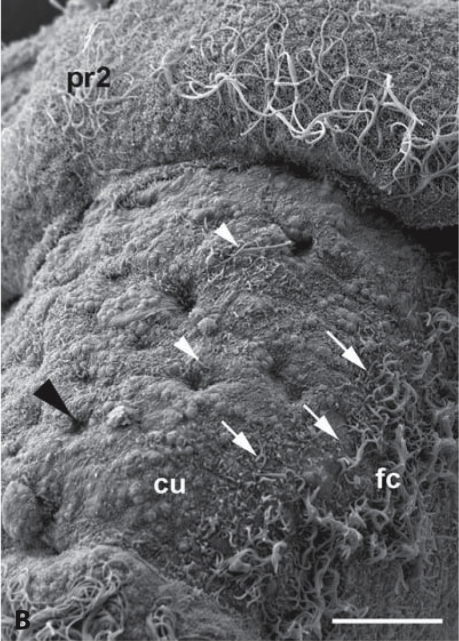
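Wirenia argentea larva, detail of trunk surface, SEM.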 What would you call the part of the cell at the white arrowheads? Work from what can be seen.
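Single hair-like threads rise from the body surface. They stand apart from one another, not in dense tufts.
Single scattered cilia.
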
